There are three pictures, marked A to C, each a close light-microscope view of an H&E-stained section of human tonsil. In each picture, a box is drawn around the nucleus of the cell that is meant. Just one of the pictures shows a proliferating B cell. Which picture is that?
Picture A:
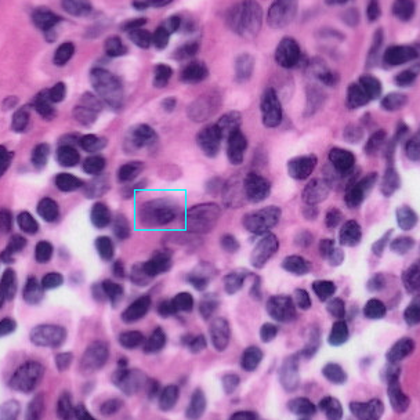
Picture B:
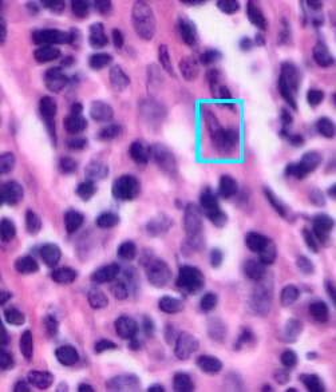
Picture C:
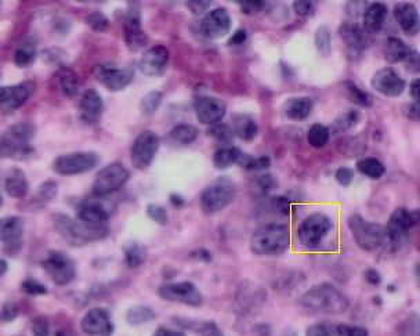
C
